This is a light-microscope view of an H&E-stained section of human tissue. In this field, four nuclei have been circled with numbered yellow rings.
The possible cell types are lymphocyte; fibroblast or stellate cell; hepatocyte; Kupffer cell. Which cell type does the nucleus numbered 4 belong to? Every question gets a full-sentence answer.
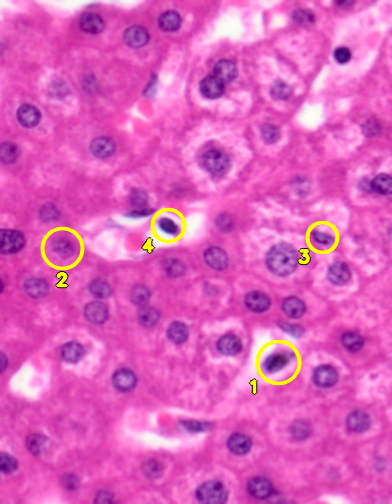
Cell 4 in the field is a lymphocyte.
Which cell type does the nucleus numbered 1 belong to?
That cell with number 1 is a Kupffer cell.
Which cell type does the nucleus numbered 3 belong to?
The cell identified by the number 3 is a fibroblast or stellate cell.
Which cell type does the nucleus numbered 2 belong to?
Cell 2 in the field of view is a hepatocyte.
